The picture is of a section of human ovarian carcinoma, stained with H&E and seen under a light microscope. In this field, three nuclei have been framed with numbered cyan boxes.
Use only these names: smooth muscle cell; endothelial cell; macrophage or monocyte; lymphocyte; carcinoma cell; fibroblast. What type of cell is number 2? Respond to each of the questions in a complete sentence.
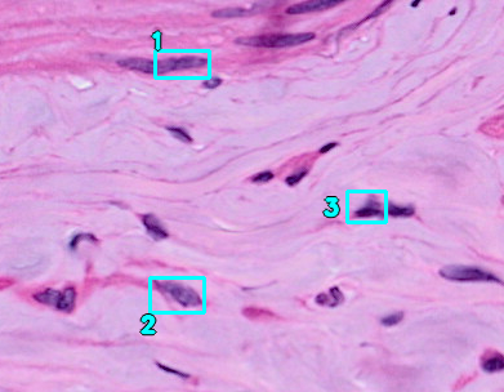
Number 2 is placed on a smooth muscle cell here.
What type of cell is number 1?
That cell with number 1 is a smooth muscle cell.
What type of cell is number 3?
Looking at the numbered marks, cell 3 is a fibroblast.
